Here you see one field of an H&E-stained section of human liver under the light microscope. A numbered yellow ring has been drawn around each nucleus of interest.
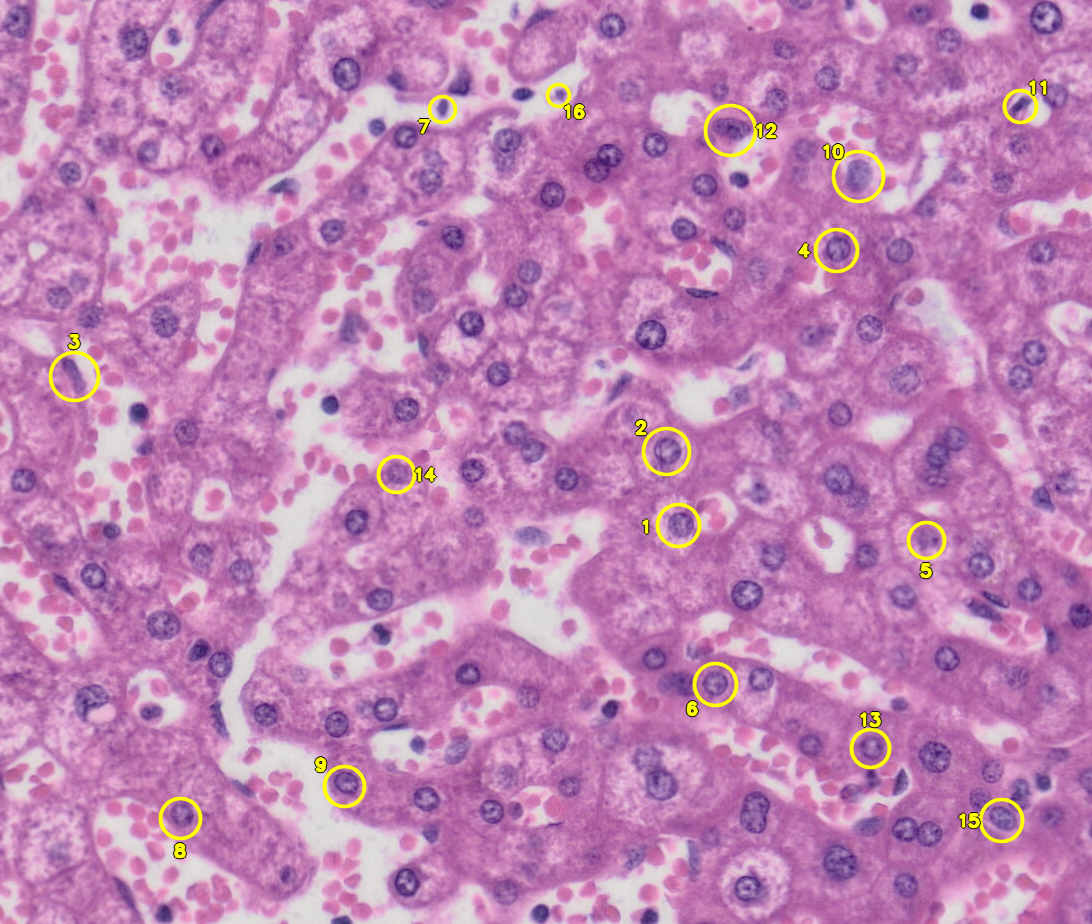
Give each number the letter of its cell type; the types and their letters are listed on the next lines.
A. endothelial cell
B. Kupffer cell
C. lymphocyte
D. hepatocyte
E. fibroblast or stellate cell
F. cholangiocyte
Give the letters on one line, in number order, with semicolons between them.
D; D; B; D; D; D; C; D; D; A; A; B; D; D; F; C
